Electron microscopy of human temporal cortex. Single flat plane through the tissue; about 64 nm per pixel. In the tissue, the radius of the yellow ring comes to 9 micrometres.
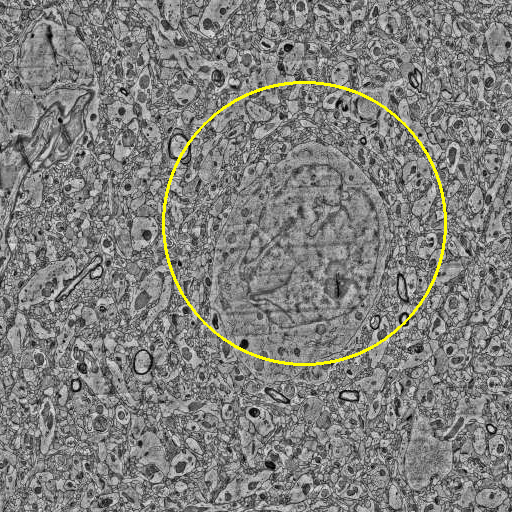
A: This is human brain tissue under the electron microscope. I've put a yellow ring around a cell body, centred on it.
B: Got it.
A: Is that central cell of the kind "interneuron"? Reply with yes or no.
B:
yes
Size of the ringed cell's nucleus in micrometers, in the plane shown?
The nucleus has a long axis of about 11 micrometres and a short axis of about 8 micrometres in this plane.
